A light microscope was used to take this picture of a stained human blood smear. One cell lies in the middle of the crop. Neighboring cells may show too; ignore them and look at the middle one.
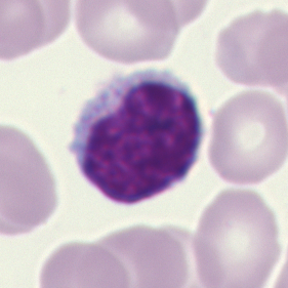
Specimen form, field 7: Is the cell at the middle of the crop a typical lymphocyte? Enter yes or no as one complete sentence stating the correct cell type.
Yes, the cell in the centre is a typical lymphocyte.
